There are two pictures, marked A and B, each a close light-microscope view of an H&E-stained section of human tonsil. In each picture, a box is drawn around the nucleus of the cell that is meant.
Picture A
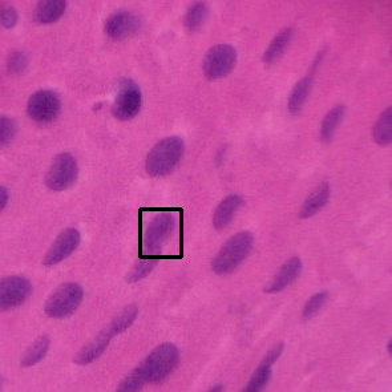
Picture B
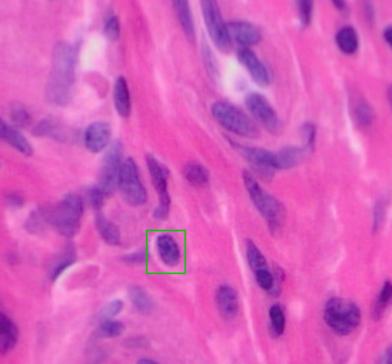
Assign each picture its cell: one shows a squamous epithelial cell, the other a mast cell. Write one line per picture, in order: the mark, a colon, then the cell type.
A: squamous epithelial cell
B: mast cell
